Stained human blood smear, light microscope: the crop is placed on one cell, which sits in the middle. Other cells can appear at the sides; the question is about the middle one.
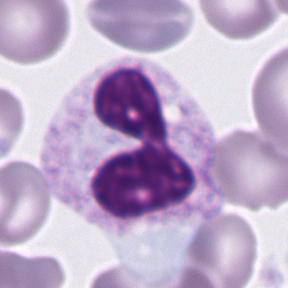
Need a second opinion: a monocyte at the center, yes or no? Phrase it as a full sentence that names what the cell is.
No, not a monocyte here; the centered cell is a segmented neutrophil.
